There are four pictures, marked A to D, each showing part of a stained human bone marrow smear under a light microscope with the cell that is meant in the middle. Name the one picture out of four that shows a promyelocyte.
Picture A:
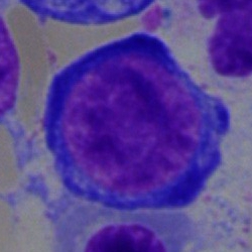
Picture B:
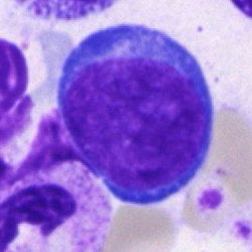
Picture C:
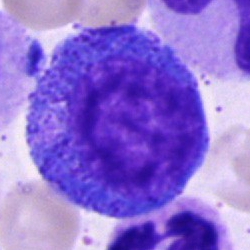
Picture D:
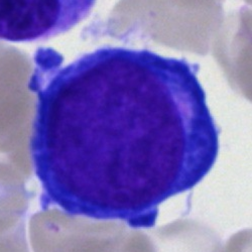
C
